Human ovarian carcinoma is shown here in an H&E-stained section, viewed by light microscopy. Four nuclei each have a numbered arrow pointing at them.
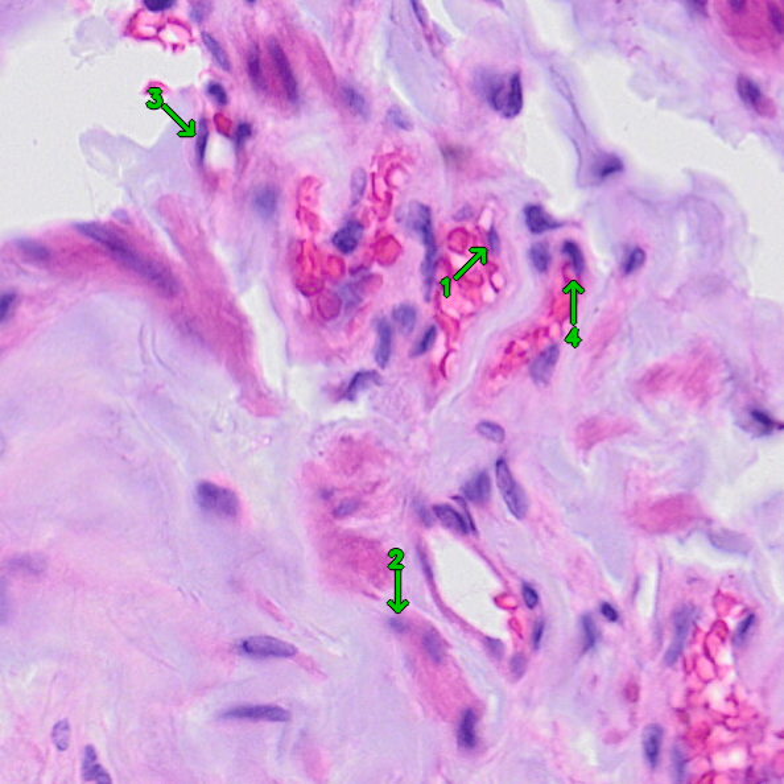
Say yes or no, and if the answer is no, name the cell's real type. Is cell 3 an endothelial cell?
Yes.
